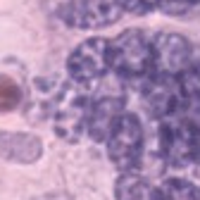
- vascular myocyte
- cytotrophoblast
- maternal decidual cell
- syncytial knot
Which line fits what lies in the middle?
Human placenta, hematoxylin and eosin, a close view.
syncytial knot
